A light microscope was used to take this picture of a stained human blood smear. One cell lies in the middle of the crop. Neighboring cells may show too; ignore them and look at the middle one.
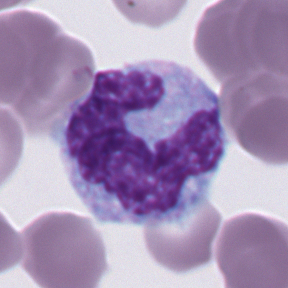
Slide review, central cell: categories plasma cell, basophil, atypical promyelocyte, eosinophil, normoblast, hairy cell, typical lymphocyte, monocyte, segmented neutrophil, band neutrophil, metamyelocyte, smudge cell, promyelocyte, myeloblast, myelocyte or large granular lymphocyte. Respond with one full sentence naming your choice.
At the crop's centre, the cell is a monocyte.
